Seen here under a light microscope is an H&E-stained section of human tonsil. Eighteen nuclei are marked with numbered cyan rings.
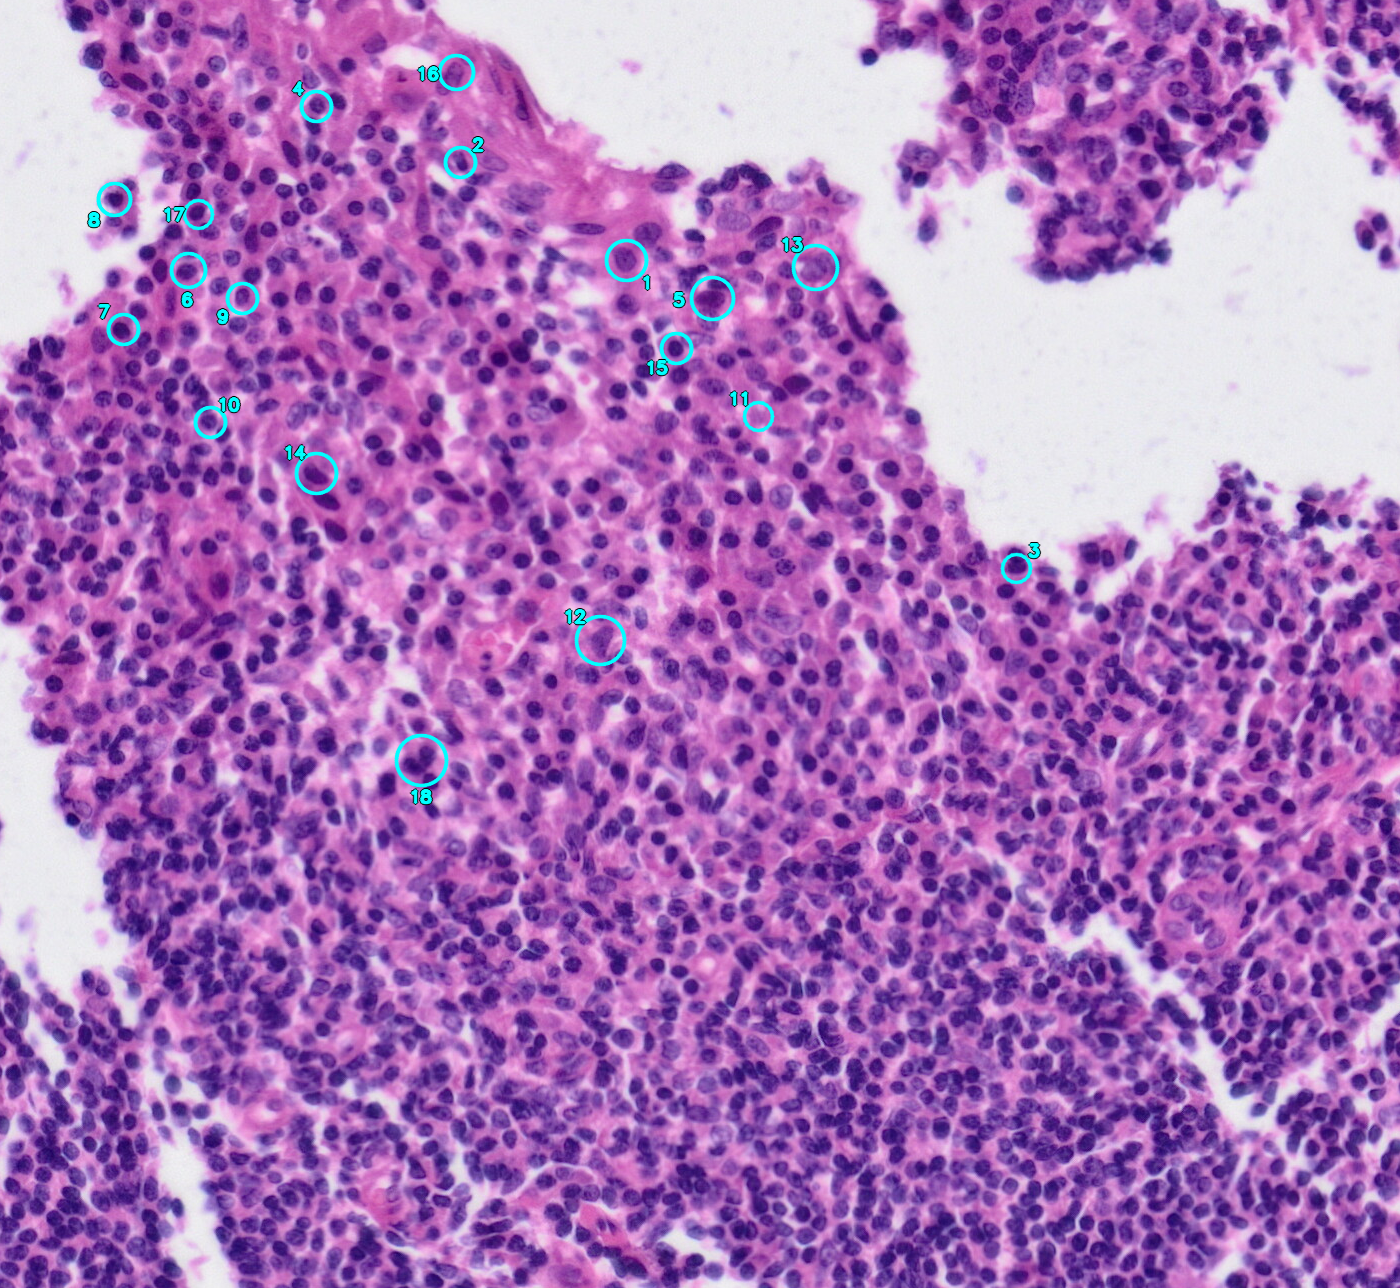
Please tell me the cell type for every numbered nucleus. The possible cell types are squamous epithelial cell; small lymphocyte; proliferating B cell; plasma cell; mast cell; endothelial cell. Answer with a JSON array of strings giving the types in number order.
["squamous epithelial cell", "squamous epithelial cell", "plasma cell", "plasma cell", "squamous epithelial cell", "plasma cell", "plasma cell", "plasma cell", "plasma cell", "plasma cell", "squamous epithelial cell", "squamous epithelial cell", "squamous epithelial cell", "squamous epithelial cell", "plasma cell", "squamous epithelial cell", "plasma cell", "squamous epithelial cell"]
